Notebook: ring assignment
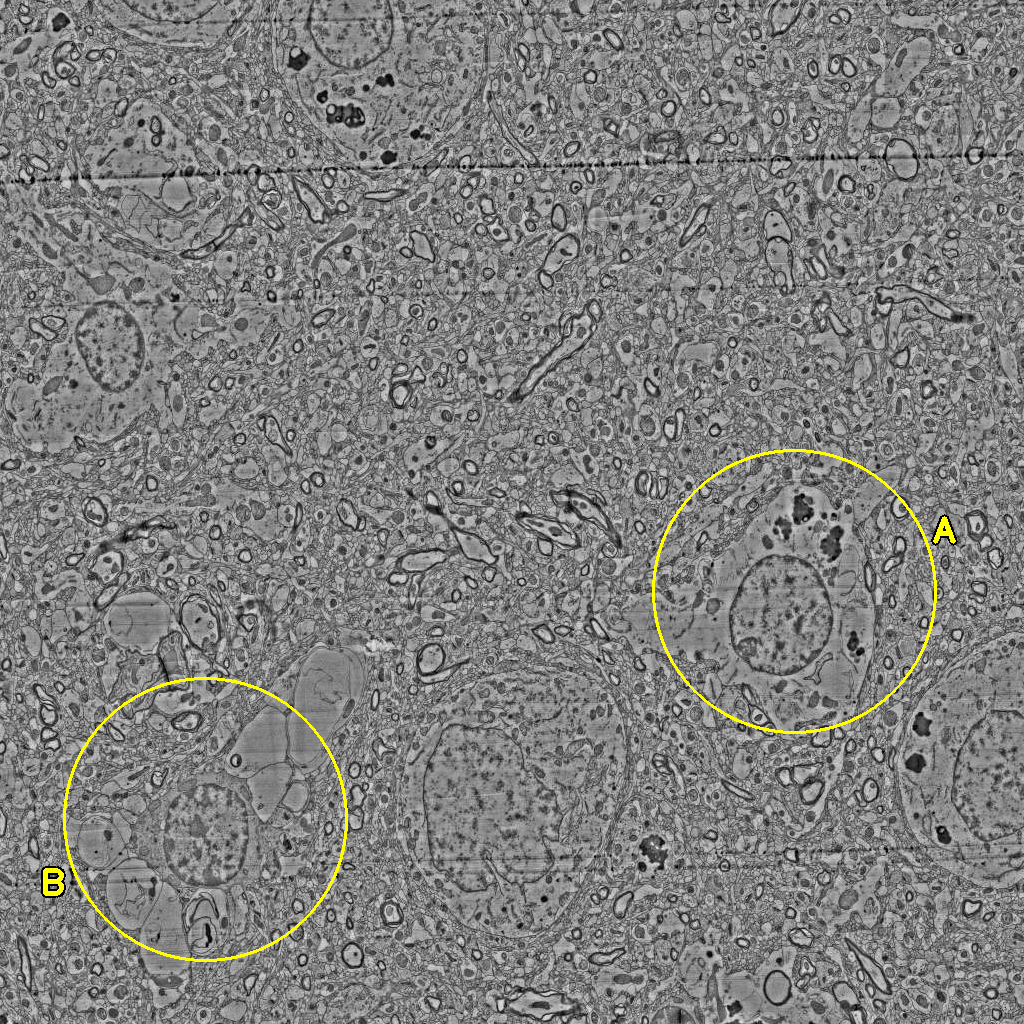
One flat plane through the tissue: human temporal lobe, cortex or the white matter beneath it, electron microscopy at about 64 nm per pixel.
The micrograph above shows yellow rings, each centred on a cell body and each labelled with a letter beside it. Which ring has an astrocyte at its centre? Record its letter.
A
